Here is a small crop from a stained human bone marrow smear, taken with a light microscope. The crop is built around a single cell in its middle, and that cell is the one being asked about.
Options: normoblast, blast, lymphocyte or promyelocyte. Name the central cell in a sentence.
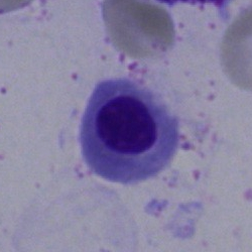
The cell in the middle of the field of view is a normoblast.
